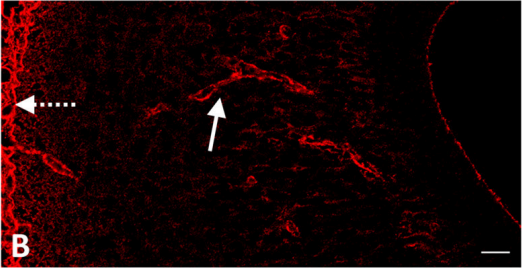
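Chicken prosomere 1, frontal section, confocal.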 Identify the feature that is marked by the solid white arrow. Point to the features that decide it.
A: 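The arrow points at a branching red tubular outline running through the wall. Similar red tubes run obliquely through the tissue. The answer: blood vessel walls.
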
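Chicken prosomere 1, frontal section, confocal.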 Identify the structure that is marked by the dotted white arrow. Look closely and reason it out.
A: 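External limiting membrane. The arrow points at a continuous red line along the outer edge of the tissue.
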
